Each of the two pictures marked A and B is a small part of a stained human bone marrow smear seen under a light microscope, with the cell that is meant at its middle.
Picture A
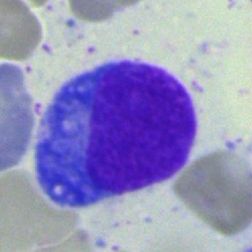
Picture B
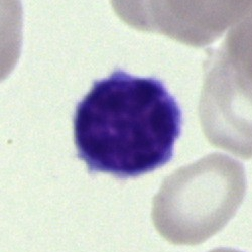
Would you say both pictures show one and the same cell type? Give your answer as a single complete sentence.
No, they differ: the cell is a blast in picture A and a lymphocyte in picture B.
